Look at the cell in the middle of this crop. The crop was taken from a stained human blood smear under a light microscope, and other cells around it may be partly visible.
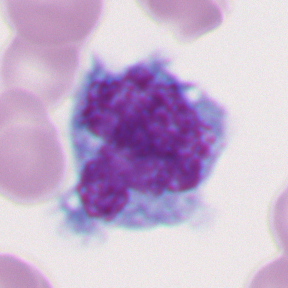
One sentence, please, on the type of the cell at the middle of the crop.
The cell in the middle of the field of view is a monocyte.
